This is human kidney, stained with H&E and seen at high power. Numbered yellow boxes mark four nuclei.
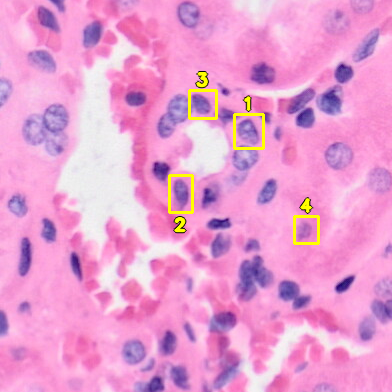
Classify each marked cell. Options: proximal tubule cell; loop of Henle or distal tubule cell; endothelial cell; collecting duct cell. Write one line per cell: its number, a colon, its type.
1: collecting duct cell
2: collecting duct cell
3: collecting duct cell
4: proximal tubule cell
